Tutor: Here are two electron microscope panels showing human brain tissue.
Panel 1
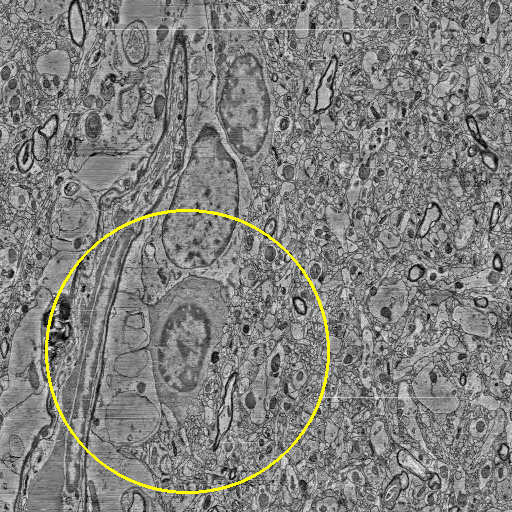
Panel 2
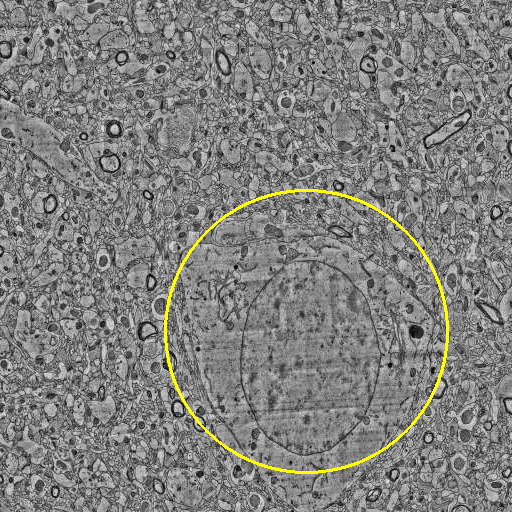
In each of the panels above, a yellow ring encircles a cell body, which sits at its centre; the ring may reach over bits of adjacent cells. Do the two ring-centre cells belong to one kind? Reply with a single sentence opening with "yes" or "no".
No, the two cells sitting at the ring centres in the panels belong to two kinds.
